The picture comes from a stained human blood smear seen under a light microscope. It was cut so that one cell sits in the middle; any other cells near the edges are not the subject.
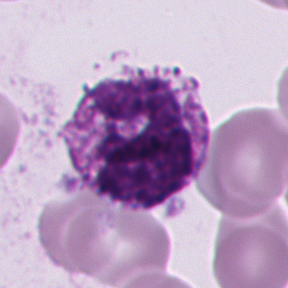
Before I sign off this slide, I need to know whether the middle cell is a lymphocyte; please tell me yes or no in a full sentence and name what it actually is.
No, the central cell is not a lymphocyte; it is a basophil.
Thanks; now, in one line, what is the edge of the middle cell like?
The margin of this cell is irregular, showing raggedness or projections instead of smoothness.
